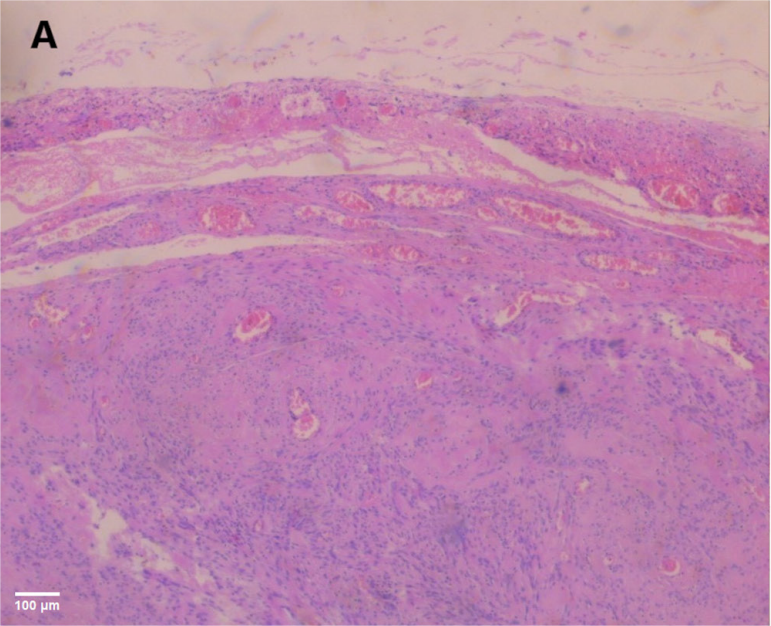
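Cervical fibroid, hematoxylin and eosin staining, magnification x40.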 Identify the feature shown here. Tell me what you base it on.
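The tissue is bounded at the top by an even, regular edge of layered fibrous tissue with vessels. Below the edge lies a compact mass of spindle cells. The answer: smooth borders.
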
